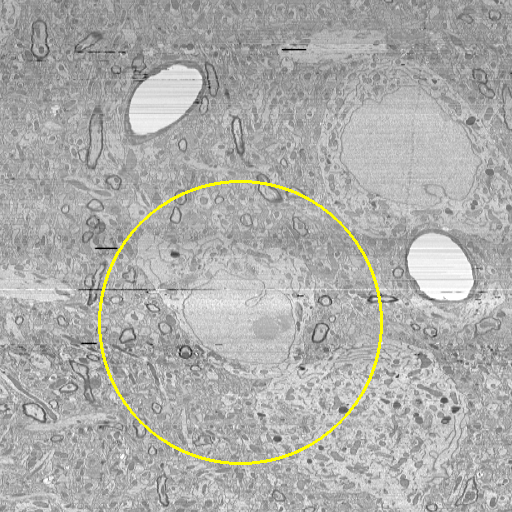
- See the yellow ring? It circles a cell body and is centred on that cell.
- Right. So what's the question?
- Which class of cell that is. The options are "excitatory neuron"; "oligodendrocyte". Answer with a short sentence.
The centre of the ring holds an excitatory neuron.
